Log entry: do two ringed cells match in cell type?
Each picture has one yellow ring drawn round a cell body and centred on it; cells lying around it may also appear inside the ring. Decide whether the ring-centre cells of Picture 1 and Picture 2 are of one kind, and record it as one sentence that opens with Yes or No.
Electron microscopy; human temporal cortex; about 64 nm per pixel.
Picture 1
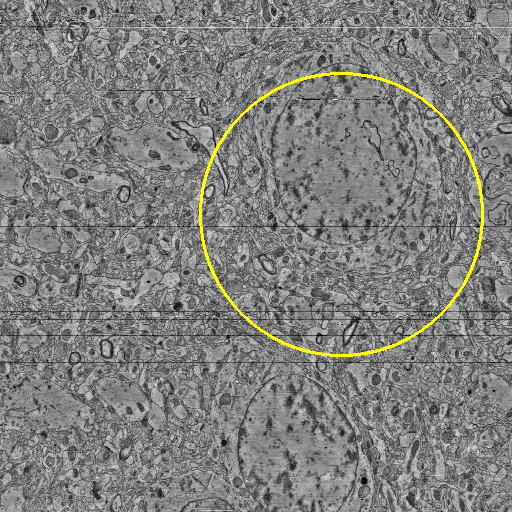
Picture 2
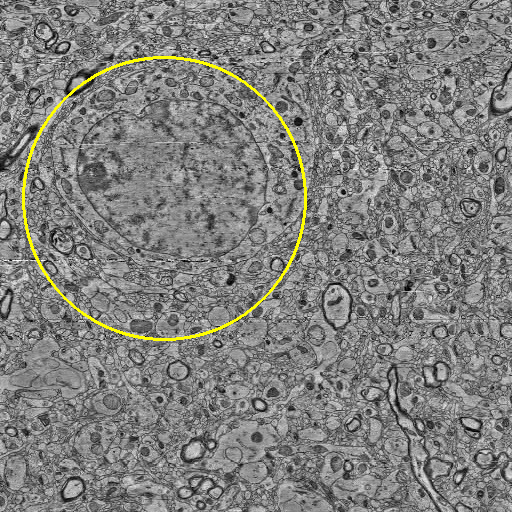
Yes, the cells at the ring centres of the two pictures belong to one kind.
